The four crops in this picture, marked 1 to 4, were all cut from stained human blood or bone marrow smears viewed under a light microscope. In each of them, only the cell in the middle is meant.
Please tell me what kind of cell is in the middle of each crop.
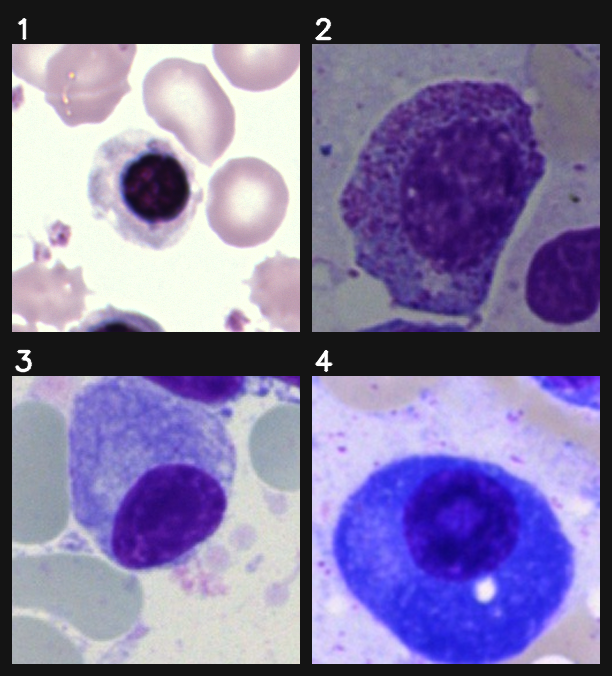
1: erythroblast
2: myelocyte
3: plasma cell
4: plasma cell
